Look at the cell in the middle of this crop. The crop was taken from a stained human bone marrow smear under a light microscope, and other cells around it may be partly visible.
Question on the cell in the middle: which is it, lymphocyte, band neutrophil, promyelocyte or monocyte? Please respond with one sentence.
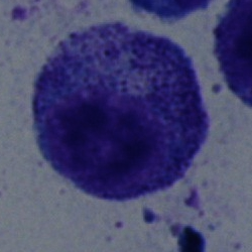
The identification for the central cell is a promyelocyte.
